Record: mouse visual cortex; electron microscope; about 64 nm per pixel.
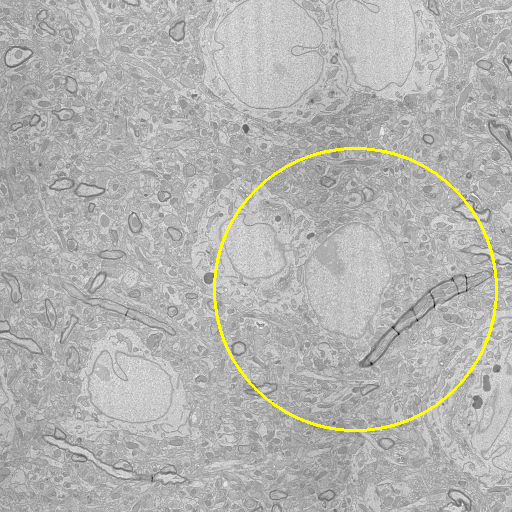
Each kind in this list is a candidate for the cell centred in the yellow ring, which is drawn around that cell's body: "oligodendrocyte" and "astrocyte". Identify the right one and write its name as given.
astrocyte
